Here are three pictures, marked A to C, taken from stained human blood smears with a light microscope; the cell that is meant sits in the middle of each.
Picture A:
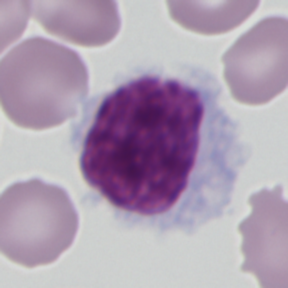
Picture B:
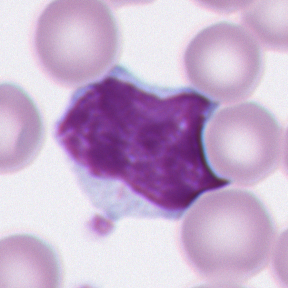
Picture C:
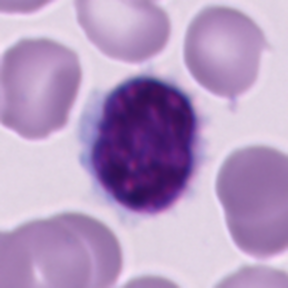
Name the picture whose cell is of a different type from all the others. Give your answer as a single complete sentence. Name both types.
The others show hairy cells, but picture B shows a typical lymphocyte.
